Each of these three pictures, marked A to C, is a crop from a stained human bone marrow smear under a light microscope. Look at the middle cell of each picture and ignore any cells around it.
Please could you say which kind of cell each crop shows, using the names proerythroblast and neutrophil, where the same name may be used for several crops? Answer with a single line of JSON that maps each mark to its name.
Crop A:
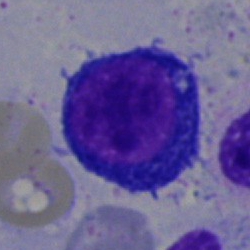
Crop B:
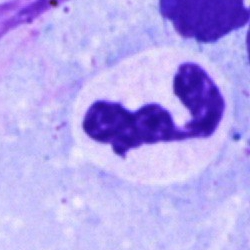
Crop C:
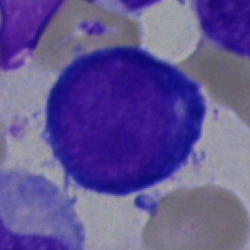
{"A": "proerythroblast", "B": "neutrophil", "C": "proerythroblast"}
